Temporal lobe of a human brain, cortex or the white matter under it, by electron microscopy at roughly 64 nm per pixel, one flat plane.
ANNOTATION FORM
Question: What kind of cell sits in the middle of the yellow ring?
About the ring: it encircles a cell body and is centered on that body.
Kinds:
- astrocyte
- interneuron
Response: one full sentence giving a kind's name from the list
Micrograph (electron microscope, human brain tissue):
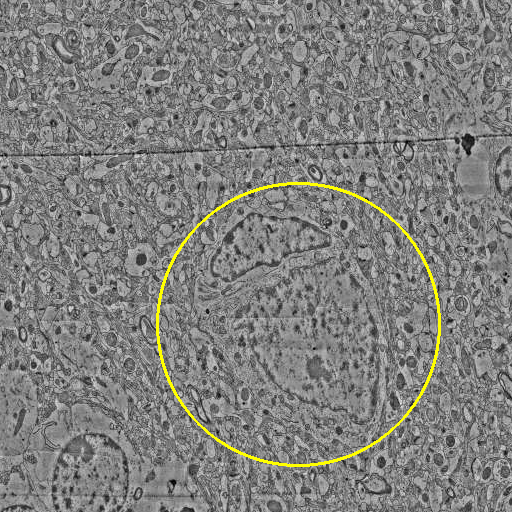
The kind of cell found at the center of the yellow ring in the micrograph is an interneuron.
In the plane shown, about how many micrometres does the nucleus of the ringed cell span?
In this plane, about 10 micrometres in length and 8 in width.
